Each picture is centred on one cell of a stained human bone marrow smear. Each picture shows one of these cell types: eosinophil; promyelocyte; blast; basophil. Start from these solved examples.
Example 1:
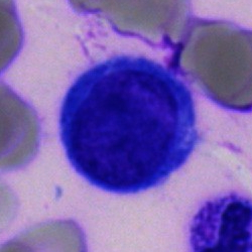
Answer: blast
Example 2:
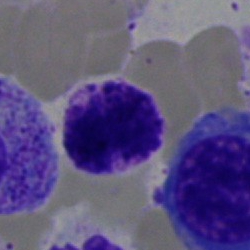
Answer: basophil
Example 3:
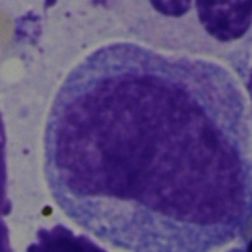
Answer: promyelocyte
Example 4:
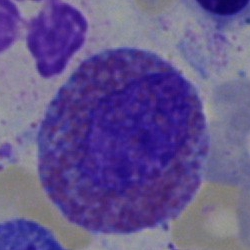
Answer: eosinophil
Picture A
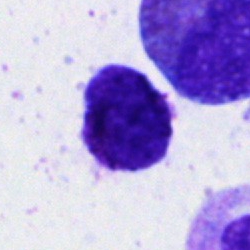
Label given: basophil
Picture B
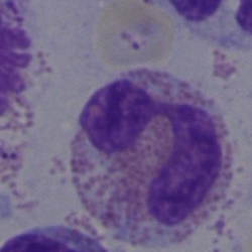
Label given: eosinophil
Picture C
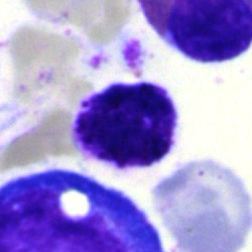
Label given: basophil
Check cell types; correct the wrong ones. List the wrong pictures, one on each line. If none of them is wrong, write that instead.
No label is wrong.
